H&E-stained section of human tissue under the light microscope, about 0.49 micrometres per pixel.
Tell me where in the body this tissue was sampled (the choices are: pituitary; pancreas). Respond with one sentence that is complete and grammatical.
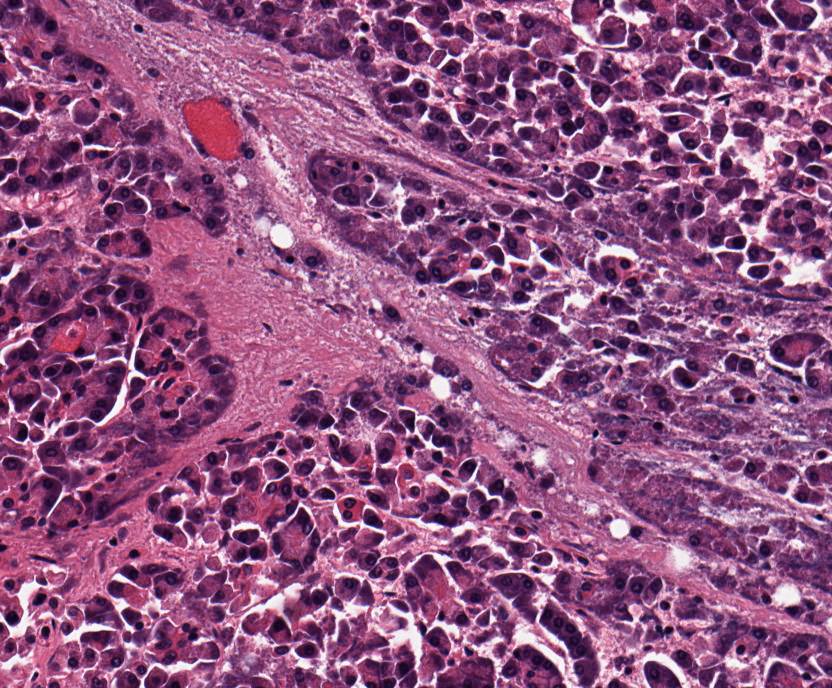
The site sampled for this tissue was the pancreas.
